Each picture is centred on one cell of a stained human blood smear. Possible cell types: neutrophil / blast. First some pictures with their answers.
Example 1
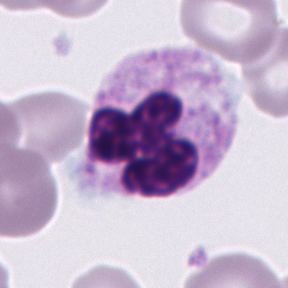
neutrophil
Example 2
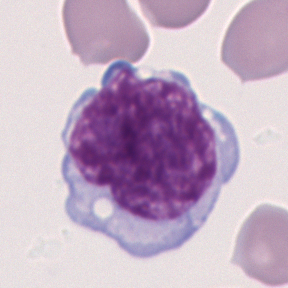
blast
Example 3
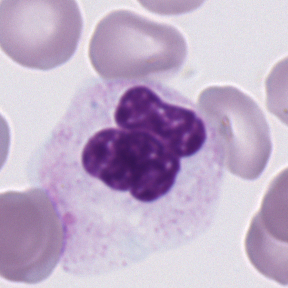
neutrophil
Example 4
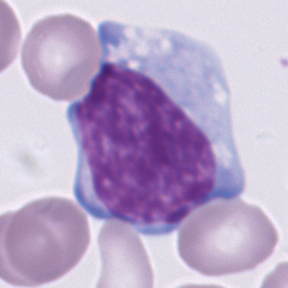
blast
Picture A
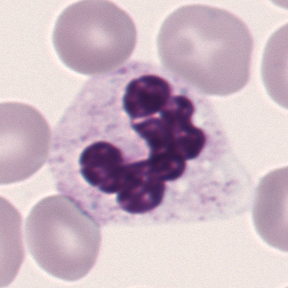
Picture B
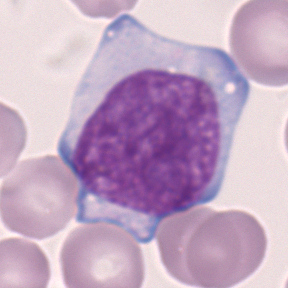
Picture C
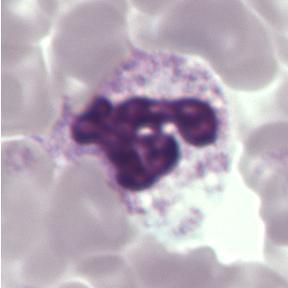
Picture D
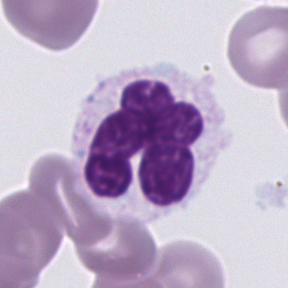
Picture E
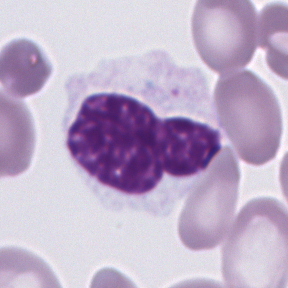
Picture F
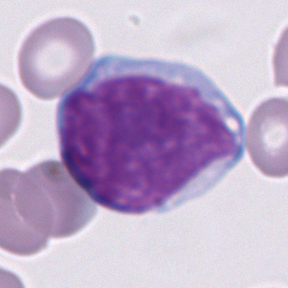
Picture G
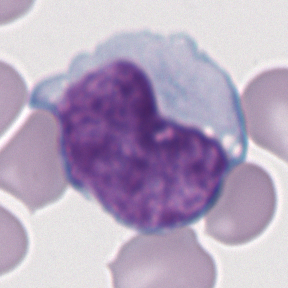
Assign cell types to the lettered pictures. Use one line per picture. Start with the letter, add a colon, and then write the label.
A: neutrophil
B: blast
C: neutrophil
D: neutrophil
E: neutrophil
F: blast
G: blast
